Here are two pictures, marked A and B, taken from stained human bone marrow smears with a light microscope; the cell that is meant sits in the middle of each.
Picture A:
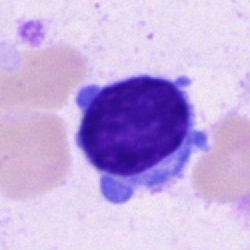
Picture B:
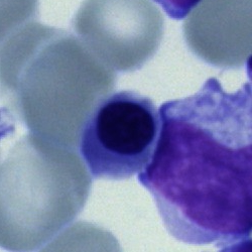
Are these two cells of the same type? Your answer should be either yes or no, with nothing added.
no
